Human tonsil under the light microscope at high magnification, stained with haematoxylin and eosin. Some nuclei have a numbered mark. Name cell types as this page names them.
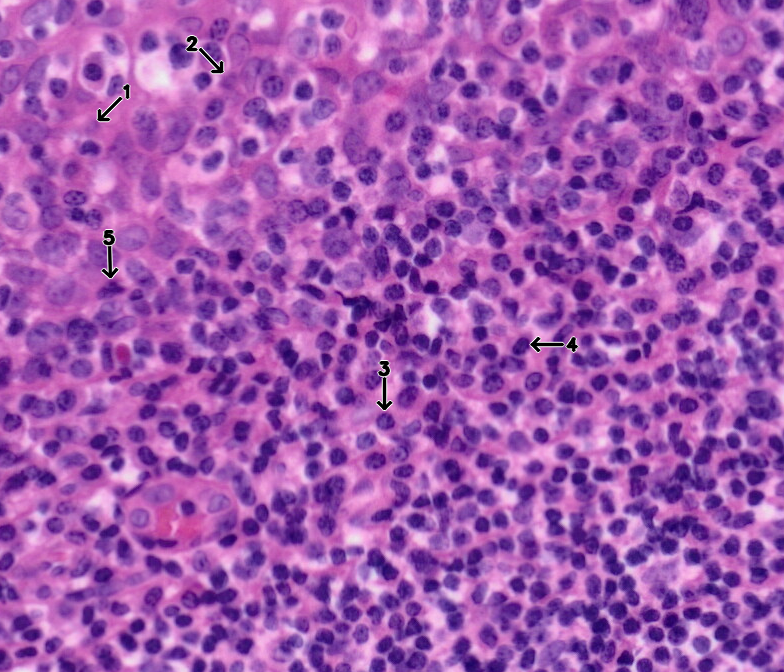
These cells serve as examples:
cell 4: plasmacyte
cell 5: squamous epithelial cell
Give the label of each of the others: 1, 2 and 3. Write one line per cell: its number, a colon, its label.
1: squamous epithelial cell
2: squamous epithelial cell
3: plasmacyte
